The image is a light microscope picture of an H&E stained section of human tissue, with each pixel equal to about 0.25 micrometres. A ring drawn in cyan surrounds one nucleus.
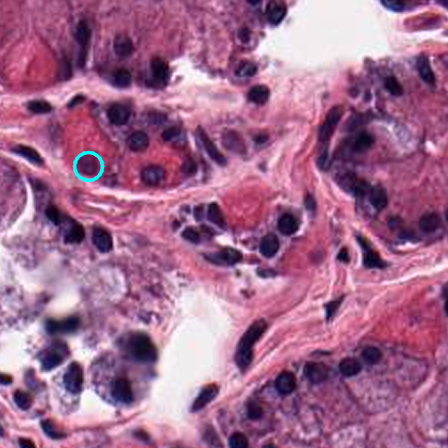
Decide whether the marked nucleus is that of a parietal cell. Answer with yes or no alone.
yes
